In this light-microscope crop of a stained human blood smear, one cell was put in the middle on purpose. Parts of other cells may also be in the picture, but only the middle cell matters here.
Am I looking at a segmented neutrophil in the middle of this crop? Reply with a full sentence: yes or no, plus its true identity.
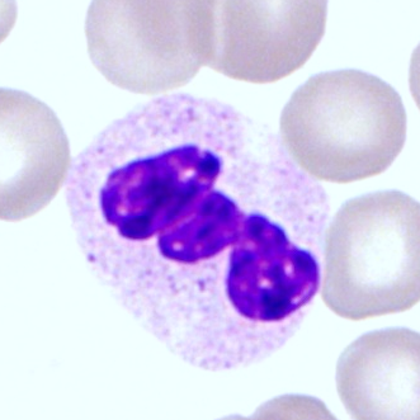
Yes, within this crop, the central cell is a segmented neutrophil.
